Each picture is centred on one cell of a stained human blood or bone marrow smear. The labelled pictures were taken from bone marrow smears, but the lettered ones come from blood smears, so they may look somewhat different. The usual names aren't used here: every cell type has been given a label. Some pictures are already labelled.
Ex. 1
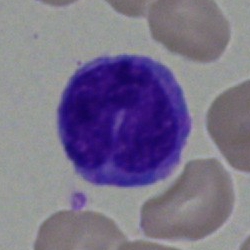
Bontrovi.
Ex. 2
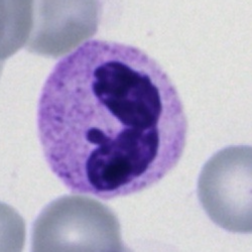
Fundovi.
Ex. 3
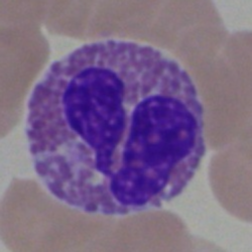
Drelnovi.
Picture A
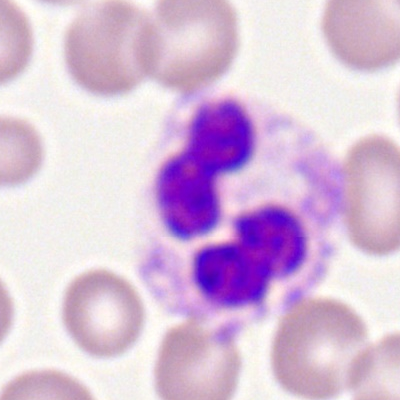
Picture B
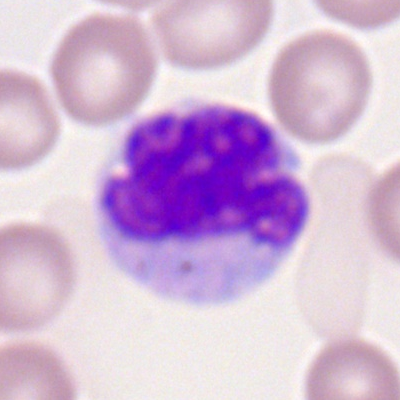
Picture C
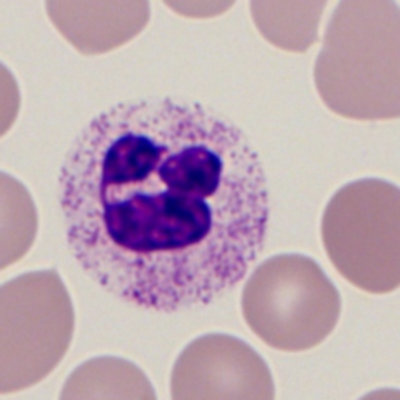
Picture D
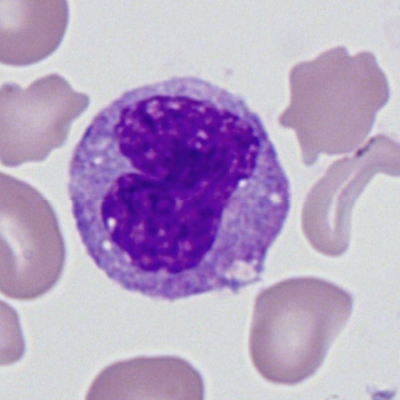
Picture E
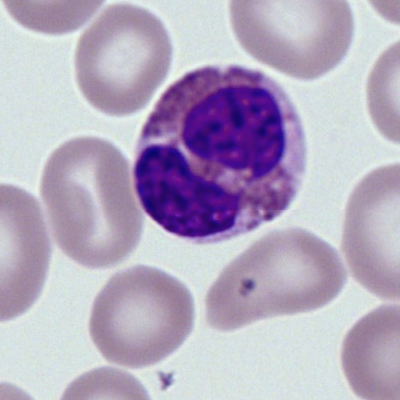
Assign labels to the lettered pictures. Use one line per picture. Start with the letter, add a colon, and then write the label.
A: Fundovi.
B: Bontrovi.
C: Fundovi.
D: Bontrovi.
E: Drelnovi.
